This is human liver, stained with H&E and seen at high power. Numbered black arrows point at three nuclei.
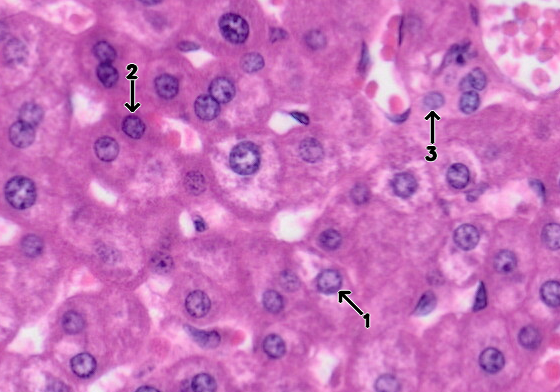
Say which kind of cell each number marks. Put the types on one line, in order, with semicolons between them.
hepatocyte; hepatocyte; cholangiocyte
